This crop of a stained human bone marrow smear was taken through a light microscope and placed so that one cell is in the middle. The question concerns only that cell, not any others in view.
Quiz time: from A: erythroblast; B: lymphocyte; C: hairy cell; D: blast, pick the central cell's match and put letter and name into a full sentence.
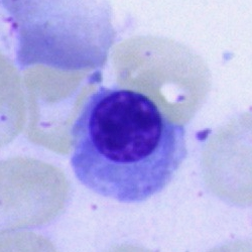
The cell centred in the crop is an erythroblast, and the correct option is thus A.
